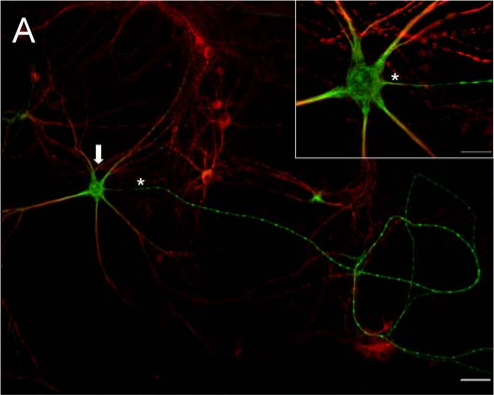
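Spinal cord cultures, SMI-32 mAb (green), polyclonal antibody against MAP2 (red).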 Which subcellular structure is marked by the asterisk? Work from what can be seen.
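Axon. The asterisk lies beside a single thin process that runs far from the cell body. This process is of even, thin calibre and beaded along its length, unlike the thicker tapering processes.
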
